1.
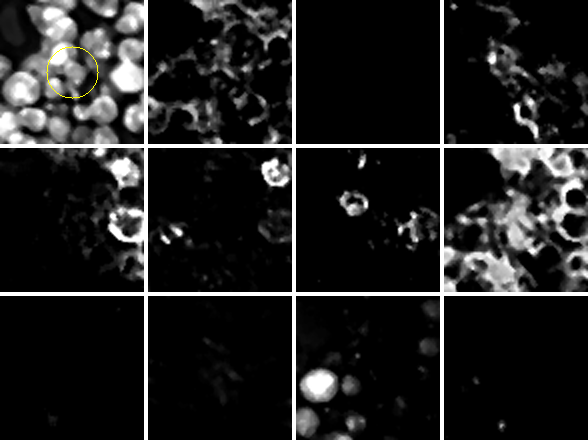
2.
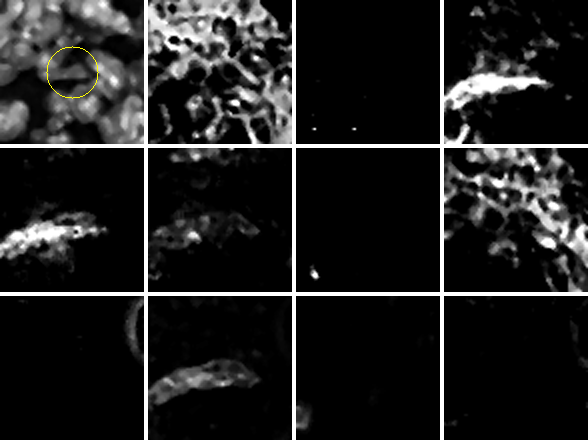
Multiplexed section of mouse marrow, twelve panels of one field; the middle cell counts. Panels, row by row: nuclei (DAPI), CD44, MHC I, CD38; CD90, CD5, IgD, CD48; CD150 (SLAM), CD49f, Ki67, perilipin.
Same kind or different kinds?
Same: capillary endothelial cells.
